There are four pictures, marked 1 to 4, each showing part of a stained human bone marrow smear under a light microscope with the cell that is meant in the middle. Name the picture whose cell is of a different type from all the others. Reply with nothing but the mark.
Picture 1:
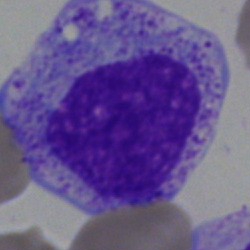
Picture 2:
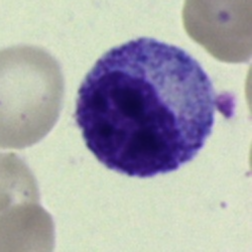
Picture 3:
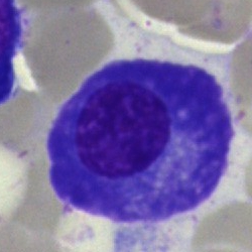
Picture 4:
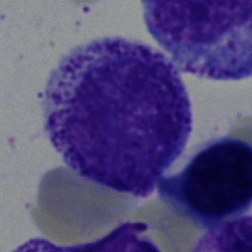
3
